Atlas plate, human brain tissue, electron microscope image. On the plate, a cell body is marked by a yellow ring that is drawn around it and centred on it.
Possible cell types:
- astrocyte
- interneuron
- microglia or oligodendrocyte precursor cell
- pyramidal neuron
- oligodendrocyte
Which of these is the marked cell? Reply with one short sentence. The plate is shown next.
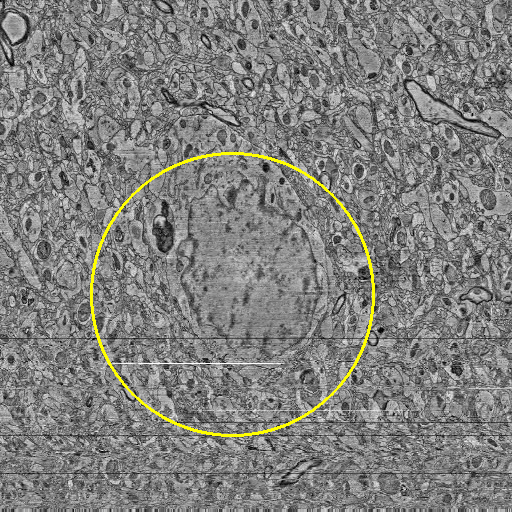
The marked cell is an interneuron.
